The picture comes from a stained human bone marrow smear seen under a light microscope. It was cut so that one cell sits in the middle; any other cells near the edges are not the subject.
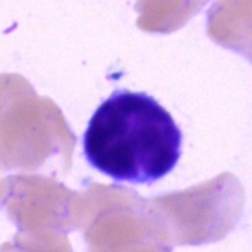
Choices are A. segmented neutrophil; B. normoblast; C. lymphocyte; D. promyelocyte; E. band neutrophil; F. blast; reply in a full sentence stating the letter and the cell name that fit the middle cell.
The cell shown centrally is a lymphocyte; option C is the correct option.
